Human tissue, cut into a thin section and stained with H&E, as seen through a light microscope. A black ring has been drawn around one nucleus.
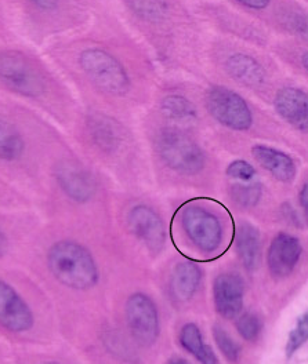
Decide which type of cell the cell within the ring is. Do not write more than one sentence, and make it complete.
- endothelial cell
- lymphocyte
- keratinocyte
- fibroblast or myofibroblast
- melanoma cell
Cytologically, the cell within the ring is to be regarded as a keratinocyte.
